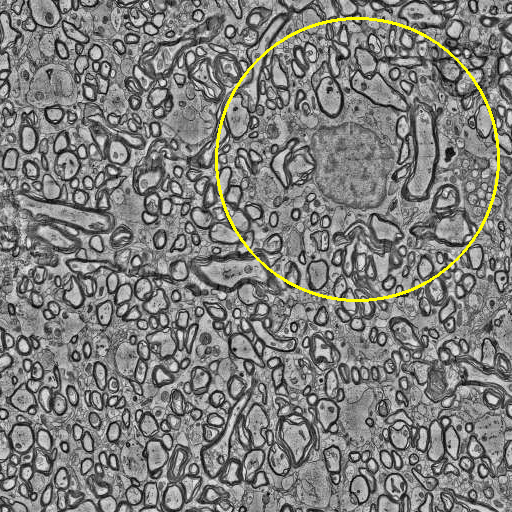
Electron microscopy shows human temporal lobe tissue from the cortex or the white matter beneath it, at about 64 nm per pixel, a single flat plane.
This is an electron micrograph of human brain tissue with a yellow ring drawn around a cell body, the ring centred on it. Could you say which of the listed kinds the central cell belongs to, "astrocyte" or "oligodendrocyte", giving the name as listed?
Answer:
oligodendrocyte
